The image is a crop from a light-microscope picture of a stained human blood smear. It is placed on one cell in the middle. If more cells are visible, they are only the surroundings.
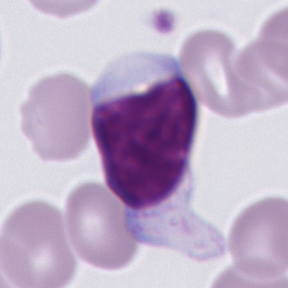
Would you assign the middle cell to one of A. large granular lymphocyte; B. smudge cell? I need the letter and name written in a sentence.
Option A correctly names the cell in the middle as a large granular lymphocyte.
